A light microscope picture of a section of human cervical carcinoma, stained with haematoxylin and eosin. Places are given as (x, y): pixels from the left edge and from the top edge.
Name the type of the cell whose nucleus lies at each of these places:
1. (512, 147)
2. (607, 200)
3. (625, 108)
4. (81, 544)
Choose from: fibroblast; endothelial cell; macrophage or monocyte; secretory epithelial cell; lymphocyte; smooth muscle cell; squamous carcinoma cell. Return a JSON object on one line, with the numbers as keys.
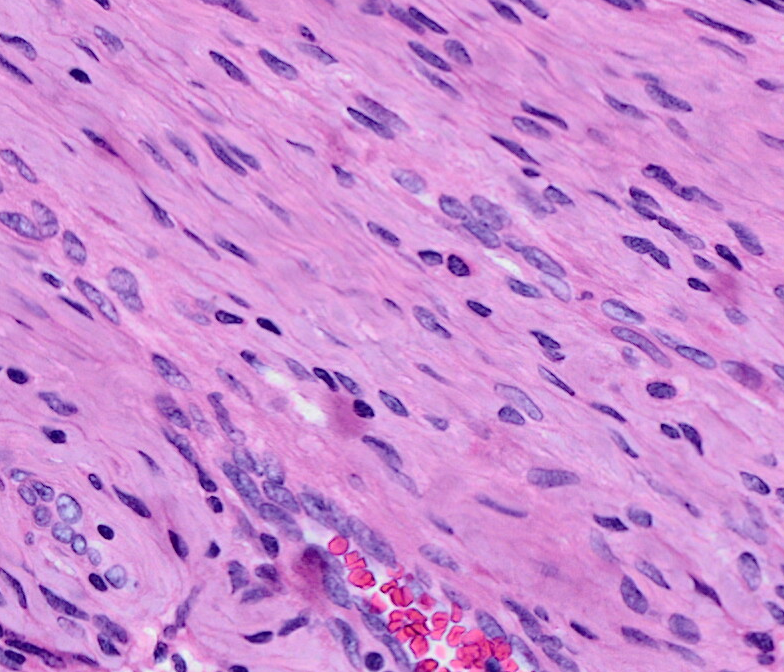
{"1": "fibroblast", "2": "fibroblast", "3": "fibroblast", "4": "endothelial cell"}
